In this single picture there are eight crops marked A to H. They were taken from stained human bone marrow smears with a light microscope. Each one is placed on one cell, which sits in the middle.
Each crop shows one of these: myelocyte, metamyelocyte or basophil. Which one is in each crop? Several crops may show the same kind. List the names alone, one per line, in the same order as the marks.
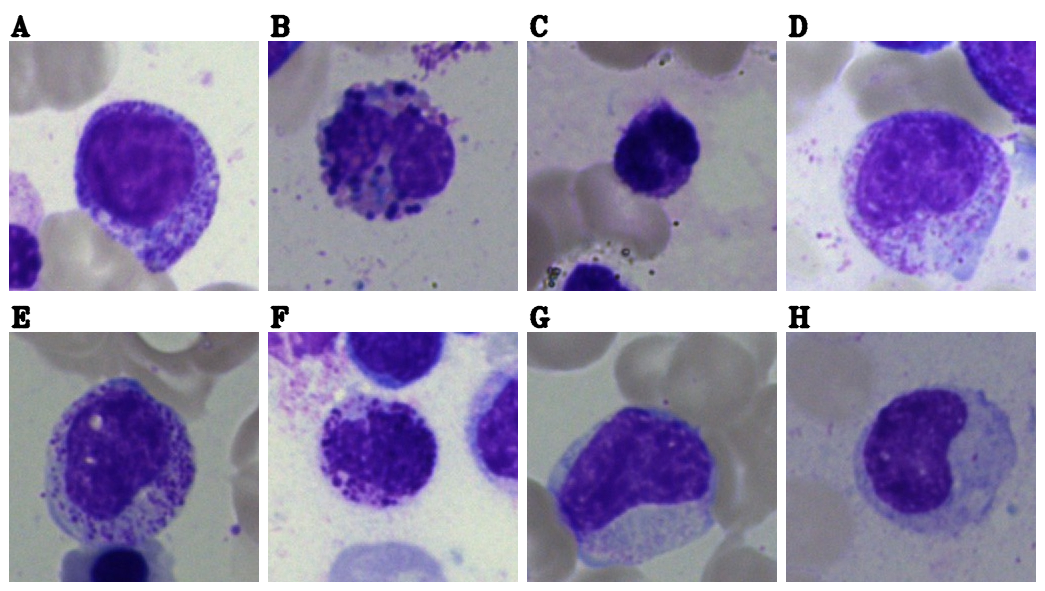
myelocyte
basophil
basophil
myelocyte
myelocyte
basophil
metamyelocyte
metamyelocyte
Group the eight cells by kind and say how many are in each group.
myelocyte: 3
basophil: 3
metamyelocyte: 2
